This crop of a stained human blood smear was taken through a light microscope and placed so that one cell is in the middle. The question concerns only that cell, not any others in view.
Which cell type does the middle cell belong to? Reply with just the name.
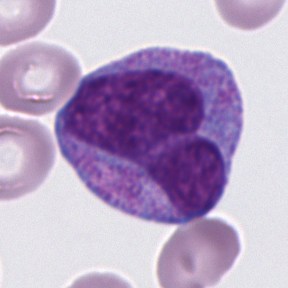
atypical promyelocyte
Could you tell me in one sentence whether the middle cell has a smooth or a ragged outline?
No projections interrupt the outline; it is smooth all the way round.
